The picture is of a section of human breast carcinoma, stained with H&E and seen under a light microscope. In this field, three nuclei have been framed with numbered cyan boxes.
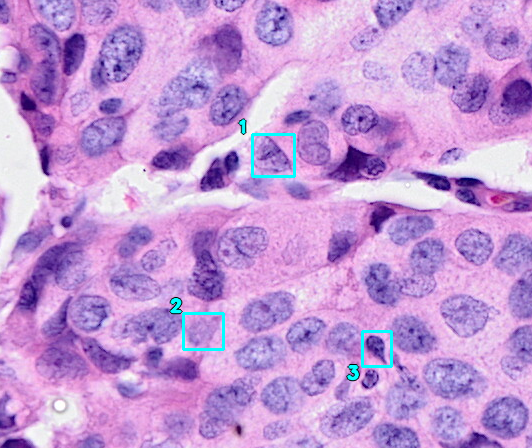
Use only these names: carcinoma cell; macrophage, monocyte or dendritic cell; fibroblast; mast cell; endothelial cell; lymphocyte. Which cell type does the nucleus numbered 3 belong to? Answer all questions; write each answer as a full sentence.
What the number 3 marks in this field is a lymphocyte.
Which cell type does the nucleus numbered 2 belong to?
The cell to which the number 2 is assigned is a carcinoma cell.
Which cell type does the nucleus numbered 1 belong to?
The cell identified by number 1 is a carcinoma cell.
